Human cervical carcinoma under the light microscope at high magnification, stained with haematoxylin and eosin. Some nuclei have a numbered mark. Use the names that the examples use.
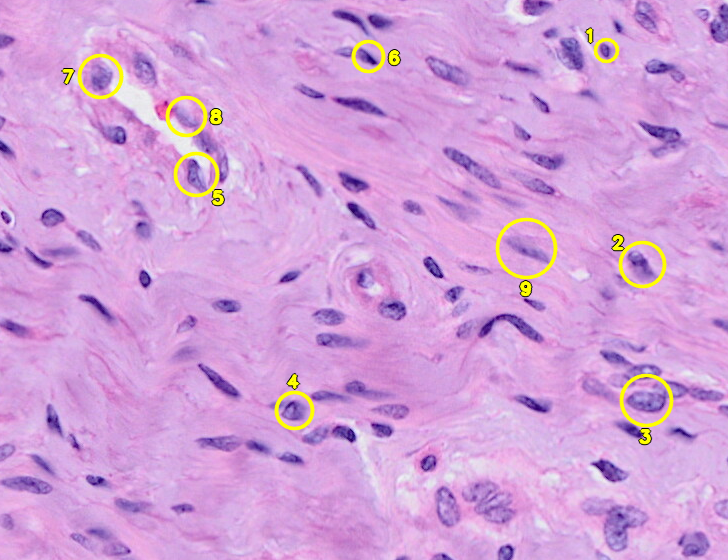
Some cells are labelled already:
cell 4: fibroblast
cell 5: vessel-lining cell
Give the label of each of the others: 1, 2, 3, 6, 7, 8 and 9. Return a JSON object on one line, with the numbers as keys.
{"1": "fibroblast", "2": "fibroblast", "3": "vessel-lining cell", "6": "fibroblast", "7": "vessel-lining cell", "8": "vessel-lining cell", "9": "fibroblast"}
